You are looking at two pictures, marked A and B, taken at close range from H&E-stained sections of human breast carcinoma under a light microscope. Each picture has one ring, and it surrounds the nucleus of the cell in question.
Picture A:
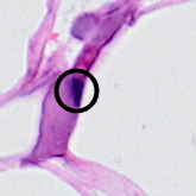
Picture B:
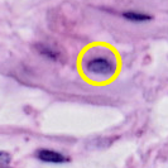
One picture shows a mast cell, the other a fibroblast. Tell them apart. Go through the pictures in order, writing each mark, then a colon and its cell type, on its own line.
A: fibroblast
B: mast cell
